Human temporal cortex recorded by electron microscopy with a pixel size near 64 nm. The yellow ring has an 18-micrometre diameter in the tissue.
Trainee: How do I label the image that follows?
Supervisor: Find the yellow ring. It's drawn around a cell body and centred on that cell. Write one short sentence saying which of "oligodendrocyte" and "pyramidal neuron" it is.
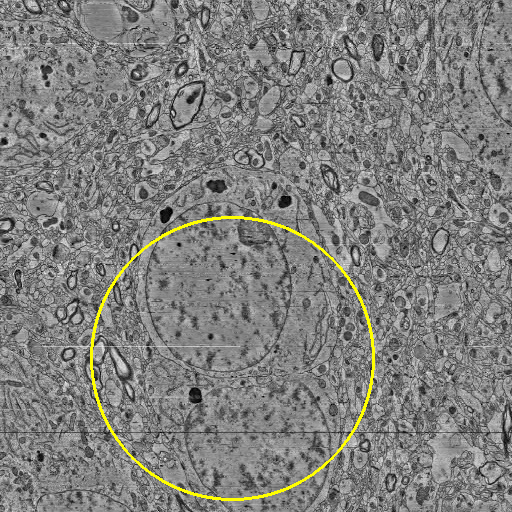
This is the cell body of a pyramidal neuron.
